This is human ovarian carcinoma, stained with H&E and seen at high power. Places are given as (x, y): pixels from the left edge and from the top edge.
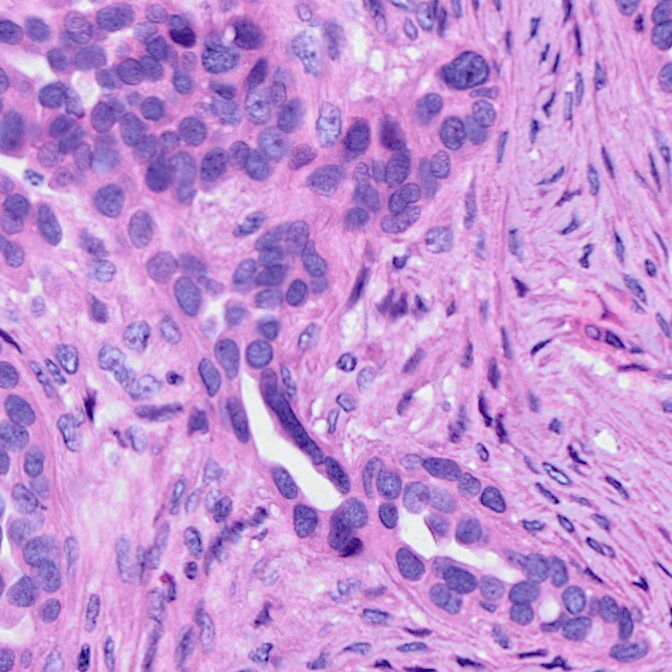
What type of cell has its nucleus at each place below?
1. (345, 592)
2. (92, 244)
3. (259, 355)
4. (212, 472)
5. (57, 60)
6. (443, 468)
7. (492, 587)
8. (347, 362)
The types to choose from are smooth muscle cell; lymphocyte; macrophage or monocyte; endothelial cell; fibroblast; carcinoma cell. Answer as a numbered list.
1. fibroblast
2. fibroblast
3. carcinoma cell
4. fibroblast
5. carcinoma cell
6. carcinoma cell
7. carcinoma cell
8. macrophage or monocyte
